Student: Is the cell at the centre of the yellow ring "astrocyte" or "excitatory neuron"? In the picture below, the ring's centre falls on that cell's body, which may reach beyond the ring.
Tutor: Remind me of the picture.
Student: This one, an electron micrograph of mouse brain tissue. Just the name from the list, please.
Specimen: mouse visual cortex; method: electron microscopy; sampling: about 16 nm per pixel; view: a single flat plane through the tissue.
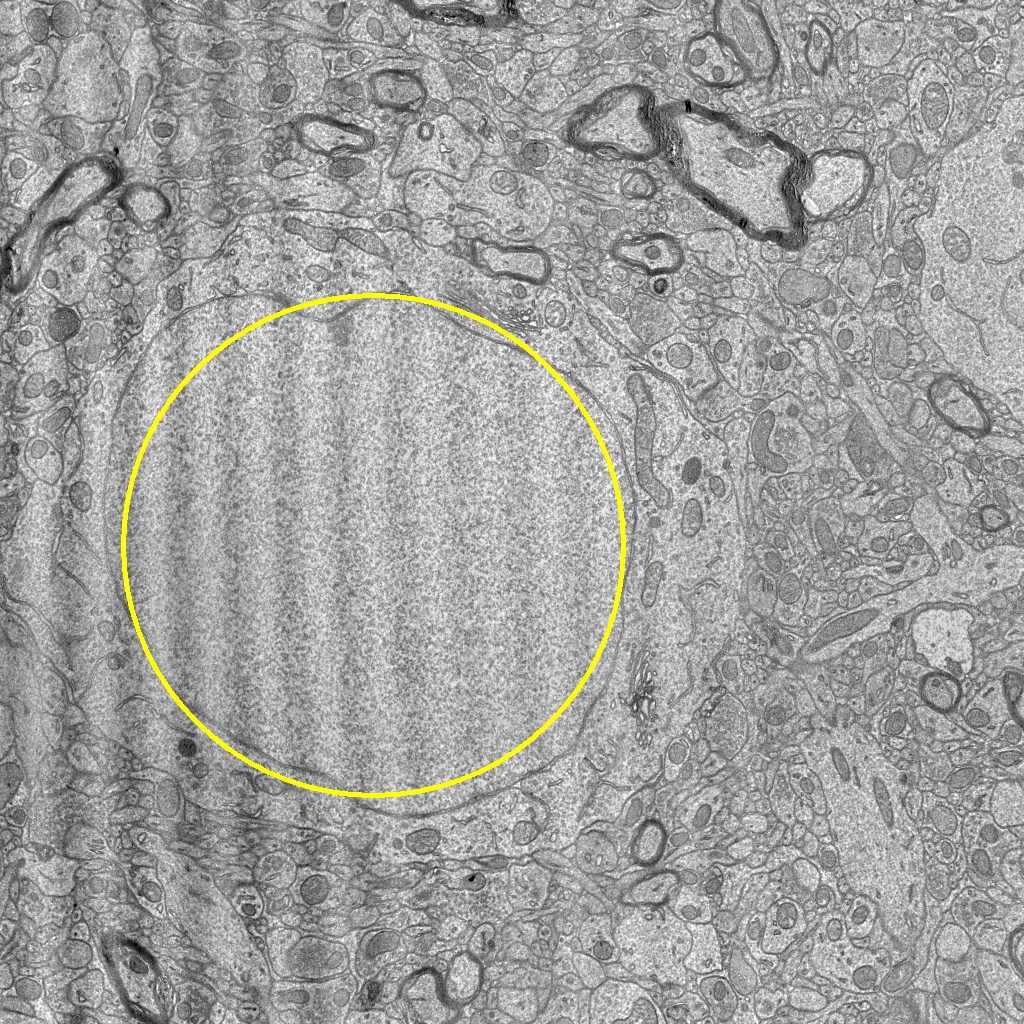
excitatory neuron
